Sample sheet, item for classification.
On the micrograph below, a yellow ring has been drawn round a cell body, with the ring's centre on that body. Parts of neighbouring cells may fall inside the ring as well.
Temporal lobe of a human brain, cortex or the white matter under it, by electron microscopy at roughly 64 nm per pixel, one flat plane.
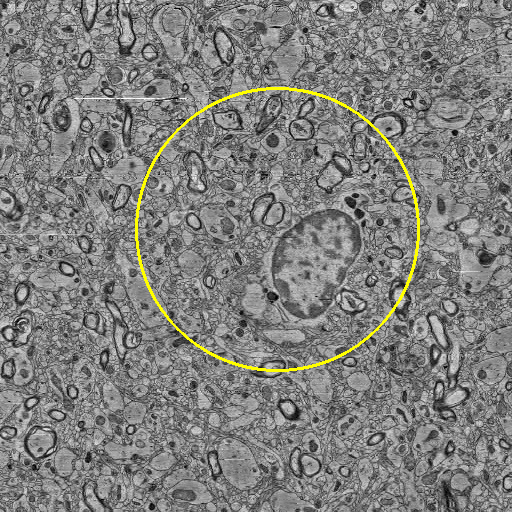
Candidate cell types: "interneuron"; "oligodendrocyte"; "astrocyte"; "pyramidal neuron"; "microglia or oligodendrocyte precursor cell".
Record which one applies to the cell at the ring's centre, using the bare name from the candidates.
microglia or oligodendrocyte precursor cell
